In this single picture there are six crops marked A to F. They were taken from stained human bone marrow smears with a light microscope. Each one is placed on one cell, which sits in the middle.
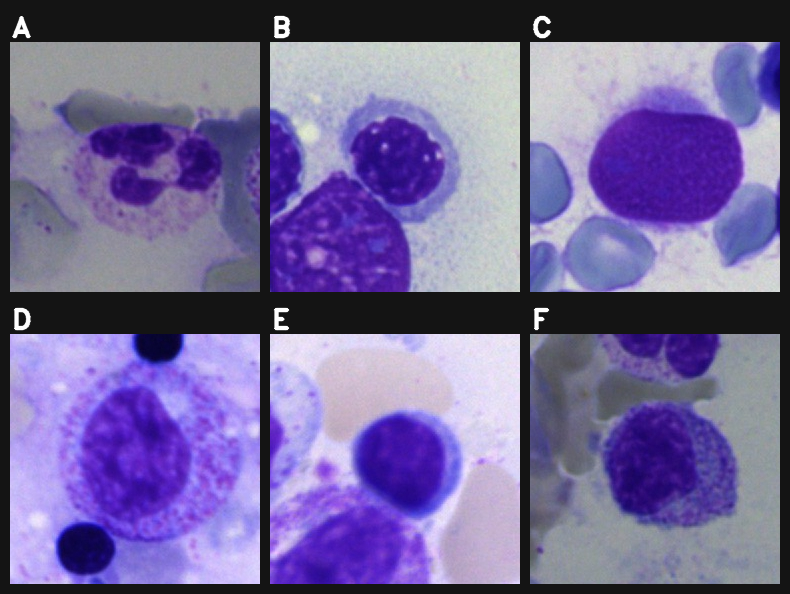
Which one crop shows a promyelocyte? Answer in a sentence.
Of the labelled crops, the one that shows a promyelocyte is crop D.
